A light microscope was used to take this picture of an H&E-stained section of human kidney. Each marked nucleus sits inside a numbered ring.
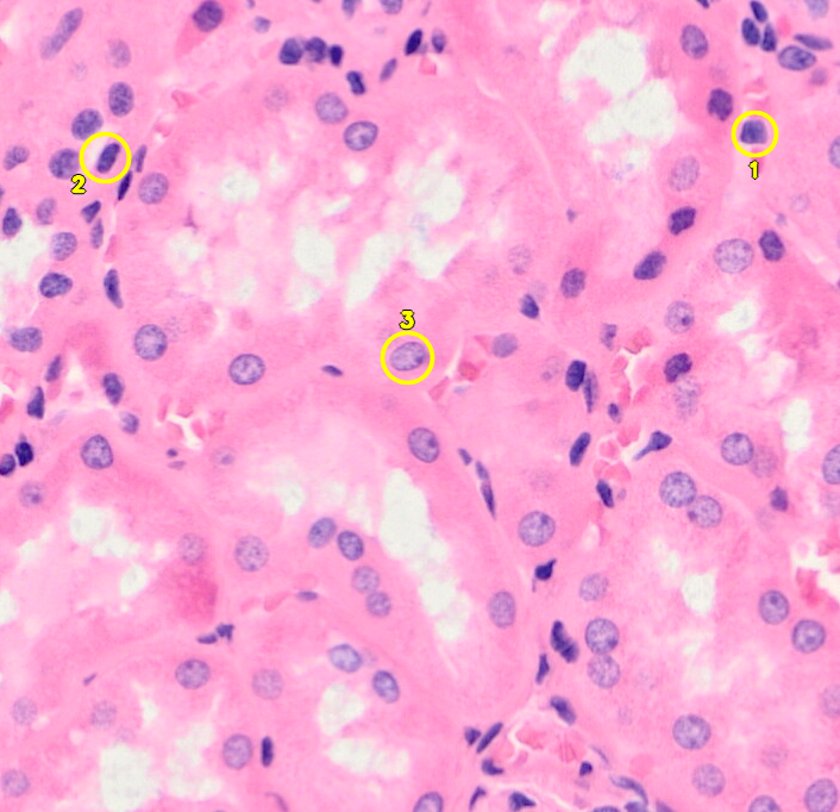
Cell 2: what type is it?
loop of Henle or distal tubule cell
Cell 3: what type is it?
proximal tubule cell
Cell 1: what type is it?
endothelial cell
